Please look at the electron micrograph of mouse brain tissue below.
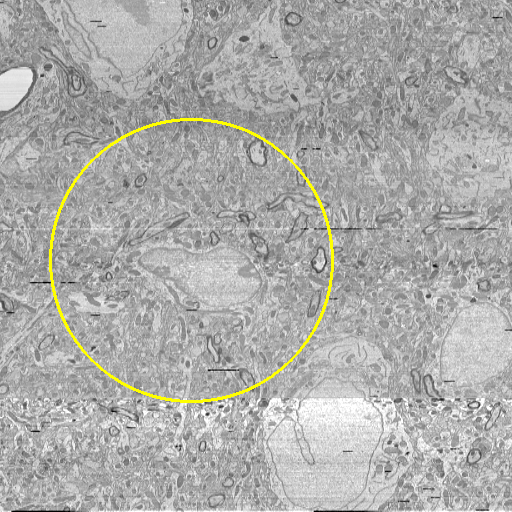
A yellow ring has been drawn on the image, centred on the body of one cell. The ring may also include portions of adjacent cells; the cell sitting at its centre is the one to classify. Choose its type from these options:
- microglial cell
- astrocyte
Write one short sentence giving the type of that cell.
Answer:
The cell in the middle of the ring is an astrocyte.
